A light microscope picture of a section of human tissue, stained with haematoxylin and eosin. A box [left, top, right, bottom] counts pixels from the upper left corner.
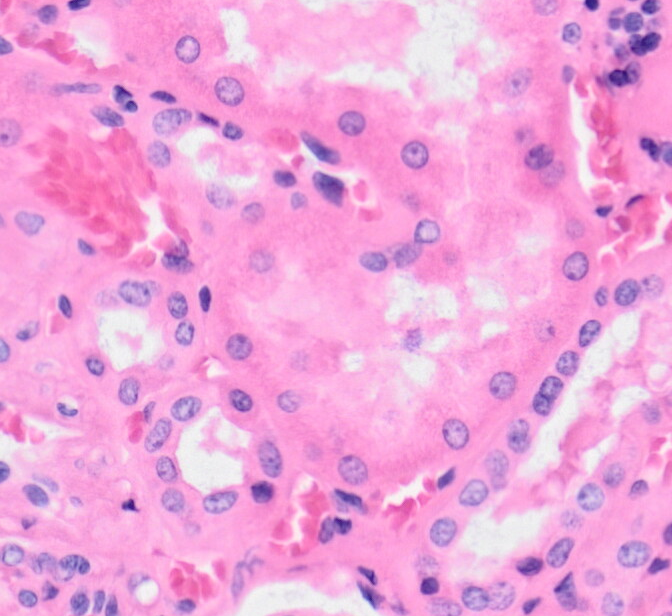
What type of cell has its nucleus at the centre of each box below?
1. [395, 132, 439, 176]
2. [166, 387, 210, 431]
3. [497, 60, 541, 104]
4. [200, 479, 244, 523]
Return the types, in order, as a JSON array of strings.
["proximal tubule cell", "collecting duct cell", "proximal tubule cell", "loop of Henle or distal tubule cell"]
